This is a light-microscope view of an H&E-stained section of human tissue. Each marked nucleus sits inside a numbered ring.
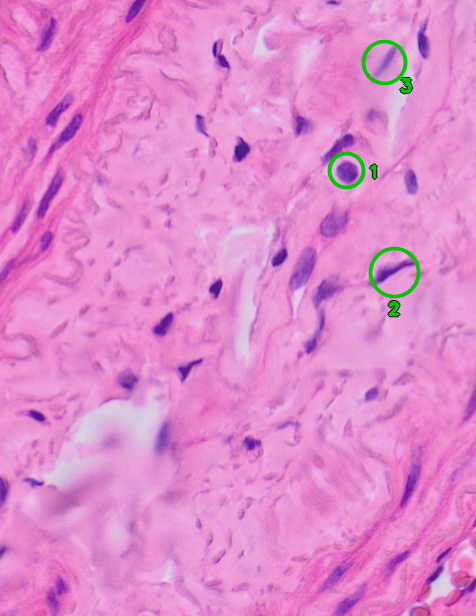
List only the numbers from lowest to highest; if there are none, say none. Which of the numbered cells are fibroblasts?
2, 3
